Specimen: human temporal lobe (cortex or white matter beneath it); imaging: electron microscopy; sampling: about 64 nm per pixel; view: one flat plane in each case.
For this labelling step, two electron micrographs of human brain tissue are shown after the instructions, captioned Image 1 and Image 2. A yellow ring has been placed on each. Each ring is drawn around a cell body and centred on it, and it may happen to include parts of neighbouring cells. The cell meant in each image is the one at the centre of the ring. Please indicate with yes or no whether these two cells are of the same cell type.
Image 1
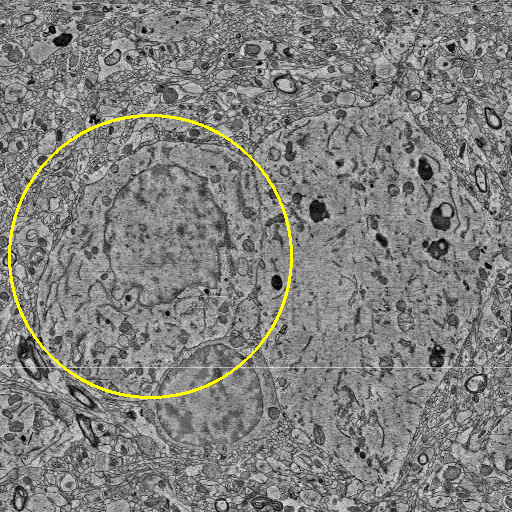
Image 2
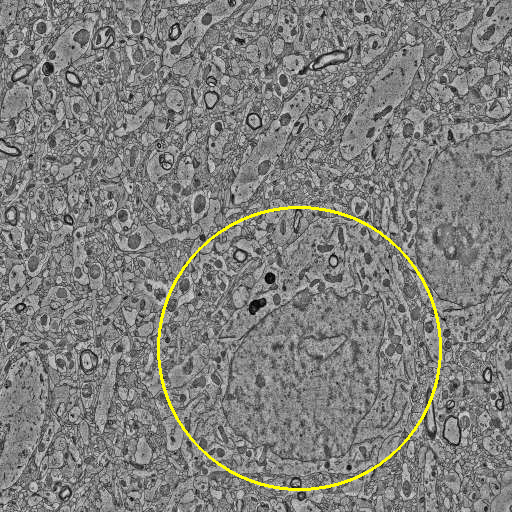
yes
